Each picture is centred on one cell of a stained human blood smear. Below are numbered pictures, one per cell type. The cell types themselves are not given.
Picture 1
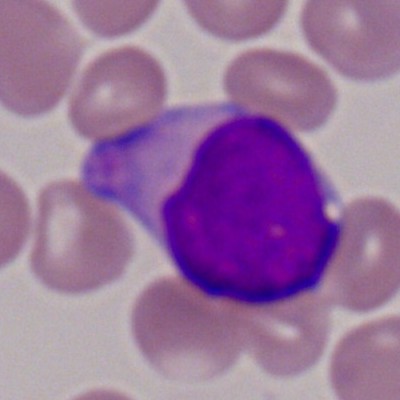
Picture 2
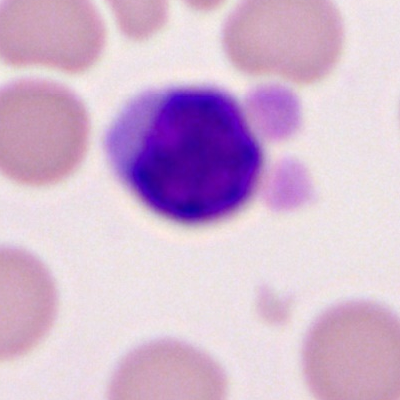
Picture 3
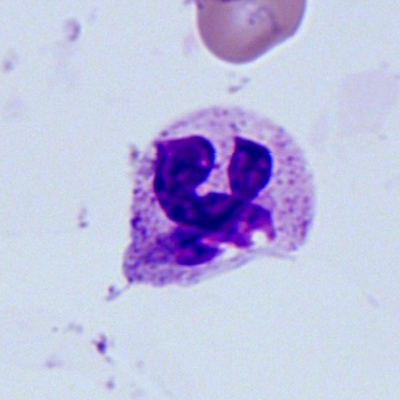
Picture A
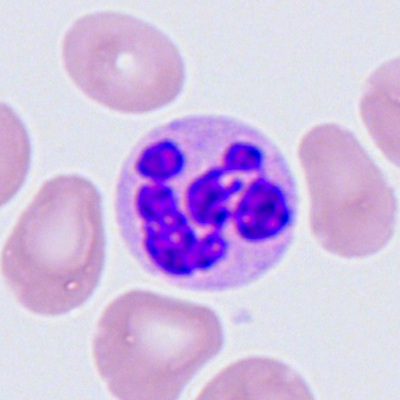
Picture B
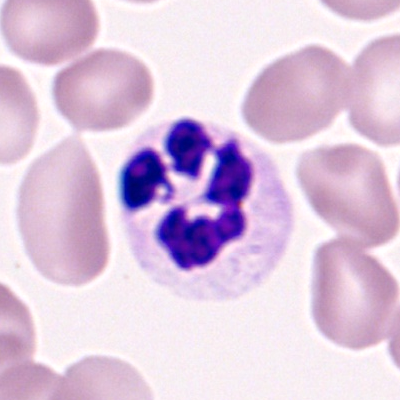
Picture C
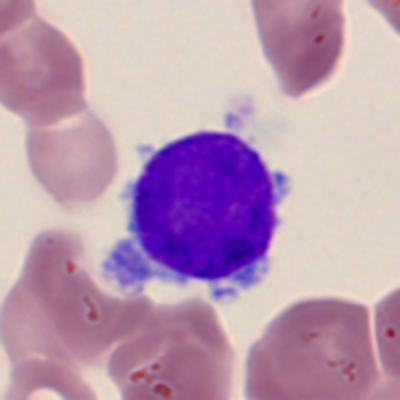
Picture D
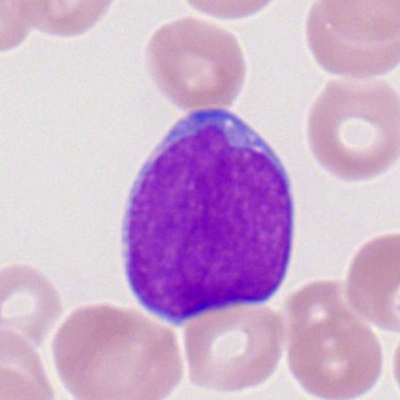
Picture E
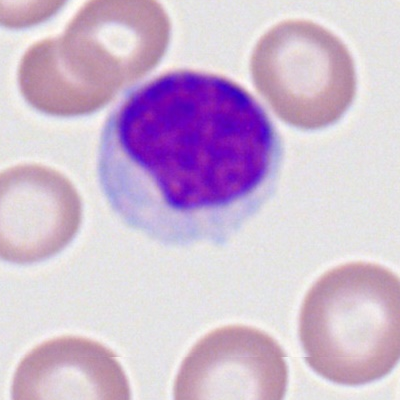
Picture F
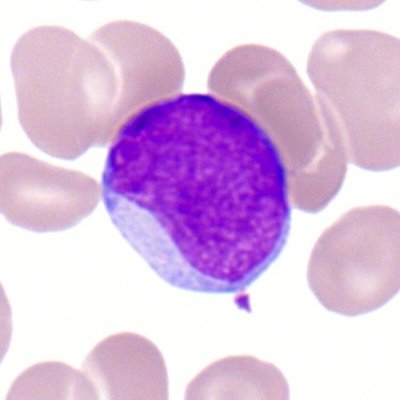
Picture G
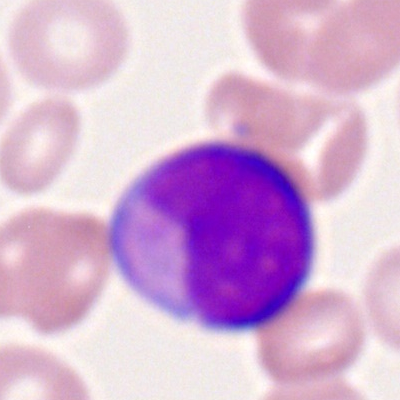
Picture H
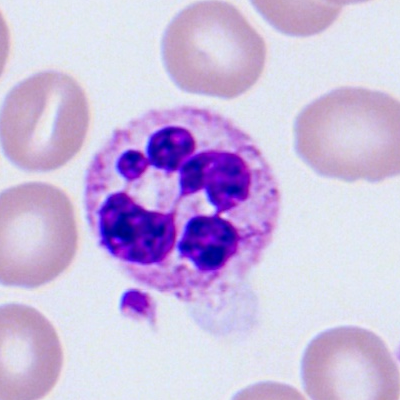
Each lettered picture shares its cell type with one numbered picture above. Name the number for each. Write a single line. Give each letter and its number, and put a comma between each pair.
A 3, B 3, C 2, D 1, E 2, F 1, G 1, H 3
